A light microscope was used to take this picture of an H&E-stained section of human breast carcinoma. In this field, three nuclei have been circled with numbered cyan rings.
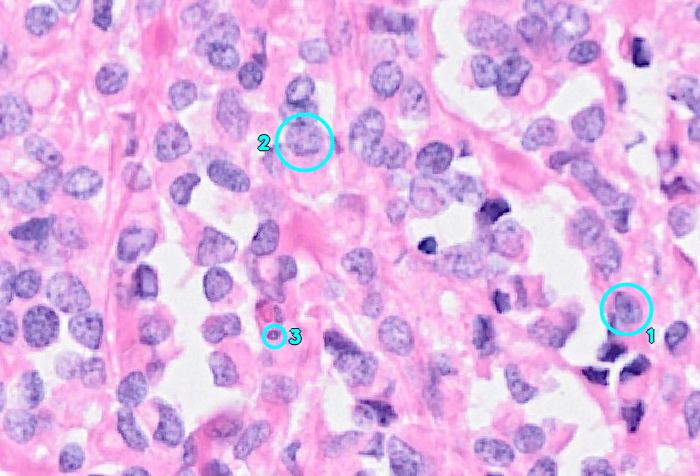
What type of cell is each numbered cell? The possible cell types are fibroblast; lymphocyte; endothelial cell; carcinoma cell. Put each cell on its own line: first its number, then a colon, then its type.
1: carcinoma cell
2: carcinoma cell
3: endothelial cell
